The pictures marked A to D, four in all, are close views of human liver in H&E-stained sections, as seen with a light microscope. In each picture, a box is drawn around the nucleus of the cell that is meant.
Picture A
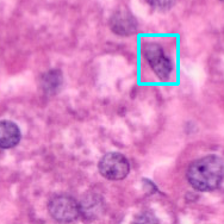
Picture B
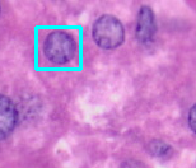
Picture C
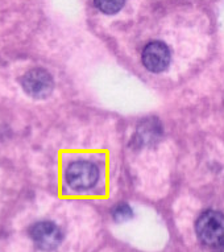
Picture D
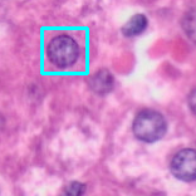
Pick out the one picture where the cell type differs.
A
